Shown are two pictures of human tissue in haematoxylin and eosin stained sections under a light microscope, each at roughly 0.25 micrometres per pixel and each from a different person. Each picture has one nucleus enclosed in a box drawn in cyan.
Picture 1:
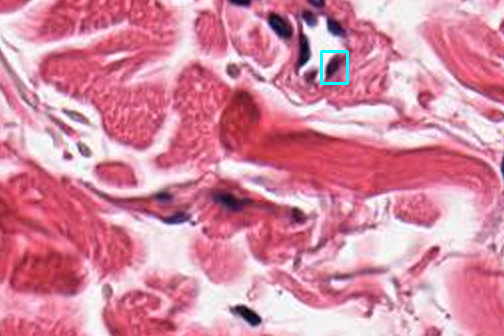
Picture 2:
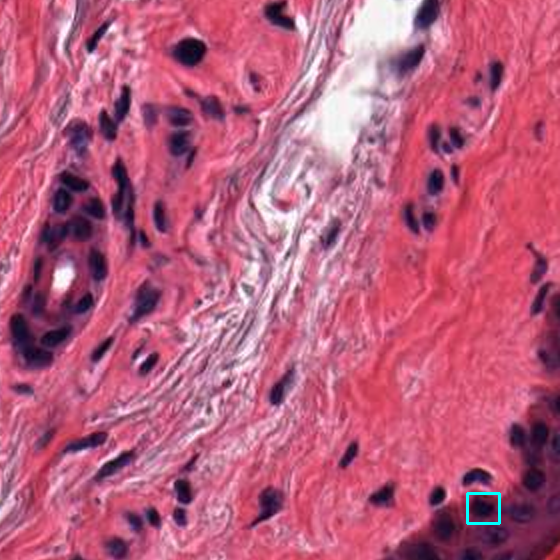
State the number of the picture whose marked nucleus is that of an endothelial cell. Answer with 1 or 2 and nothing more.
1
